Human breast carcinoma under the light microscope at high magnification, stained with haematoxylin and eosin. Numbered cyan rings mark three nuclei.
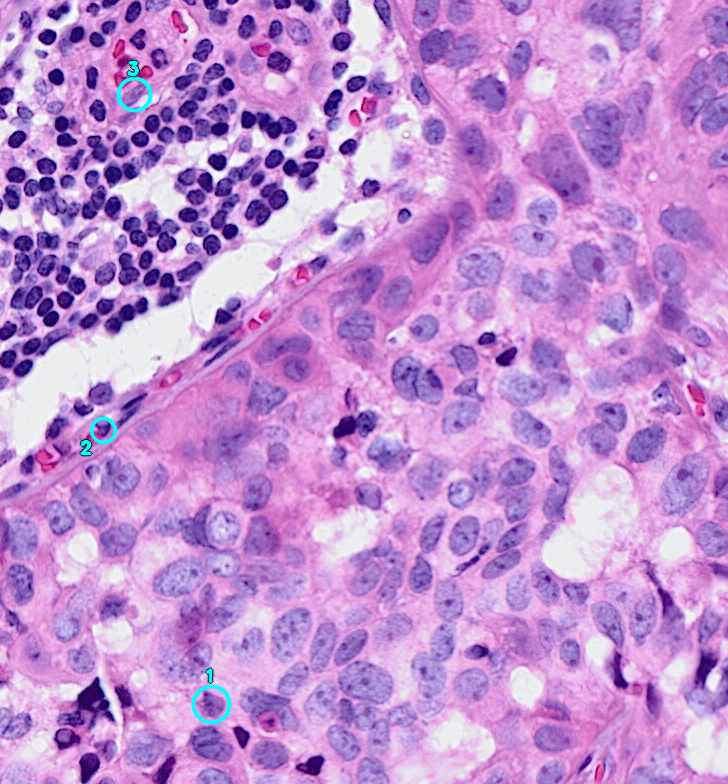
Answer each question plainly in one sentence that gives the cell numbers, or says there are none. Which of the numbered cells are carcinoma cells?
Only number 1 of the marked cells is a carcinoma cell.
